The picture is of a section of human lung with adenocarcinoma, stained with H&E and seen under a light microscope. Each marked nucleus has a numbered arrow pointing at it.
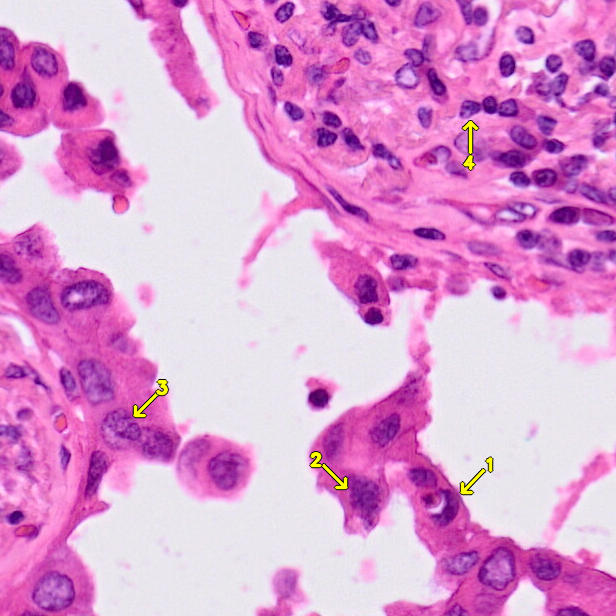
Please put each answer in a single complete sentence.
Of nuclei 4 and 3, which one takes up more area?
Nucleus 3 covers more area, about 3 times as much as nucleus 4.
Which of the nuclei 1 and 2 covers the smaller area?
Number 1 is smaller, since number 2 takes up about 2 times as much area.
